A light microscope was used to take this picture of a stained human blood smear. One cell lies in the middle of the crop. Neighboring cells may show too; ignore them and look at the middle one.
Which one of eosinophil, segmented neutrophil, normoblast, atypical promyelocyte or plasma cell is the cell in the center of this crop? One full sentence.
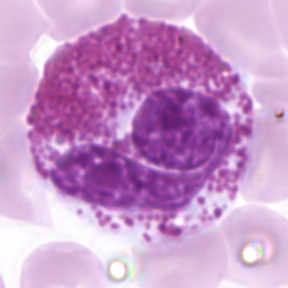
In this smear crop, the middle cell is an eosinophil.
